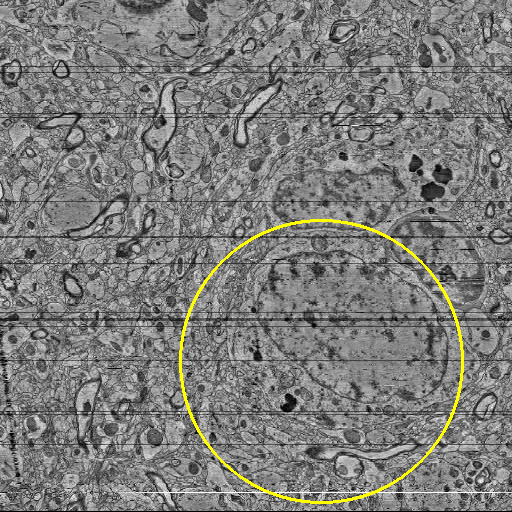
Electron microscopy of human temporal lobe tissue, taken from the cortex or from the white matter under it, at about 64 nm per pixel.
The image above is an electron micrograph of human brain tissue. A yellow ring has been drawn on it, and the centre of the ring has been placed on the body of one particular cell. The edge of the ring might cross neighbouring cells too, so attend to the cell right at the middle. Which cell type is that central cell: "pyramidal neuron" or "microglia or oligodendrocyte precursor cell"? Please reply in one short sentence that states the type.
The central cell in the ring is a pyramidal neuron.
